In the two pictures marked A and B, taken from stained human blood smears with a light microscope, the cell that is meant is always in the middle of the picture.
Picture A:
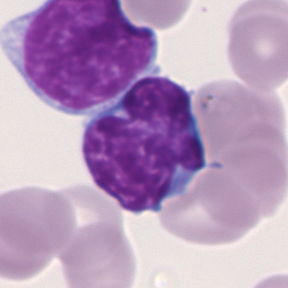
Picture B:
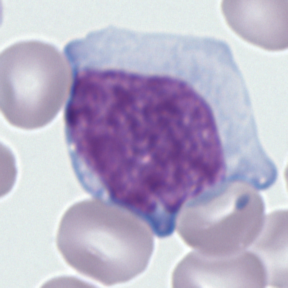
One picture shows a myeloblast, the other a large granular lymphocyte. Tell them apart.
A: large granular lymphocyte
B: myeloblast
